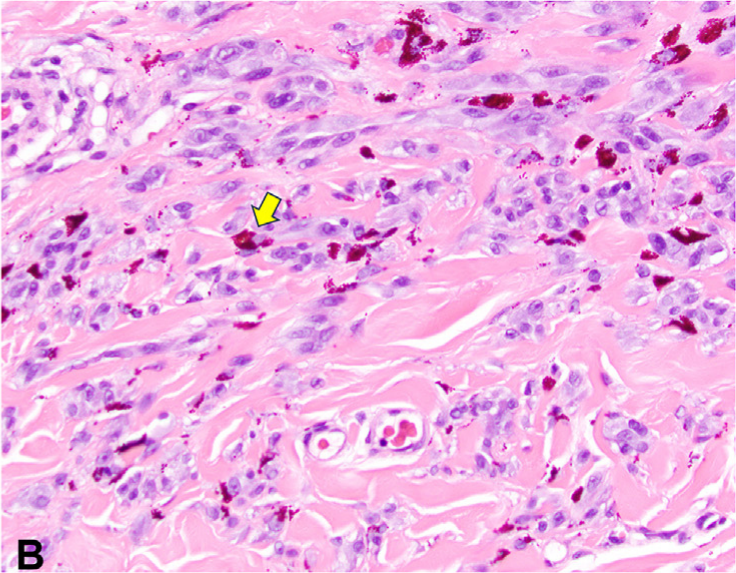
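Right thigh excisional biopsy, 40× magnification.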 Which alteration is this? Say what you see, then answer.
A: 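Spitzoid and sclerosing features. The cells are plump, epithelioid to spindled, with ample pale violet cytoplasm. Nuclei are oval and vesicular, some with small nucleoli. Thick, dense pink collagen bundles lie between the cell groups.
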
